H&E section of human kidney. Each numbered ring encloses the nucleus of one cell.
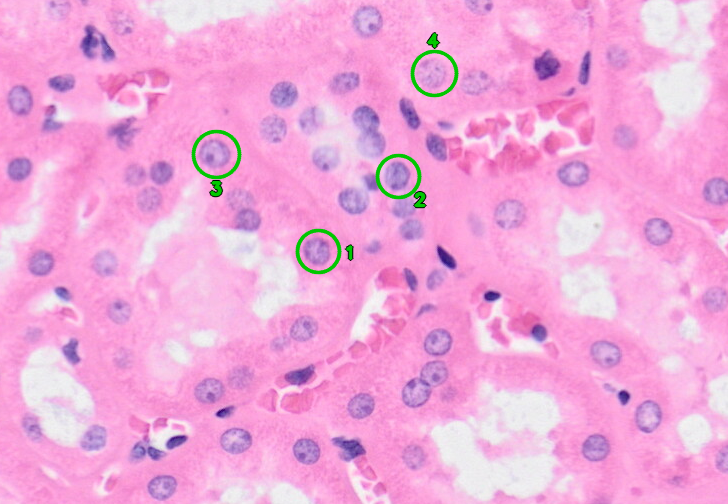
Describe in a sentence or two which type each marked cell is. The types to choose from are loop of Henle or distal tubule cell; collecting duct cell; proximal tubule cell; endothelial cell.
Cell 1 is a proximal tubule cell, cell 2 is a loop of Henle or distal tubule cell, cell 3 is a proximal tubule cell and cell 4 is a proximal tubule cell.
